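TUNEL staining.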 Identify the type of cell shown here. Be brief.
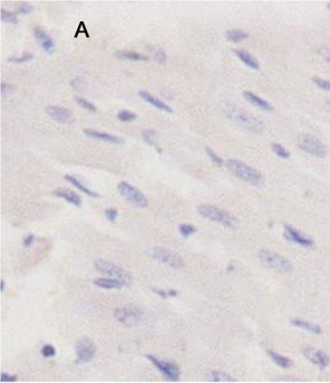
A: Cardiomyocyte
